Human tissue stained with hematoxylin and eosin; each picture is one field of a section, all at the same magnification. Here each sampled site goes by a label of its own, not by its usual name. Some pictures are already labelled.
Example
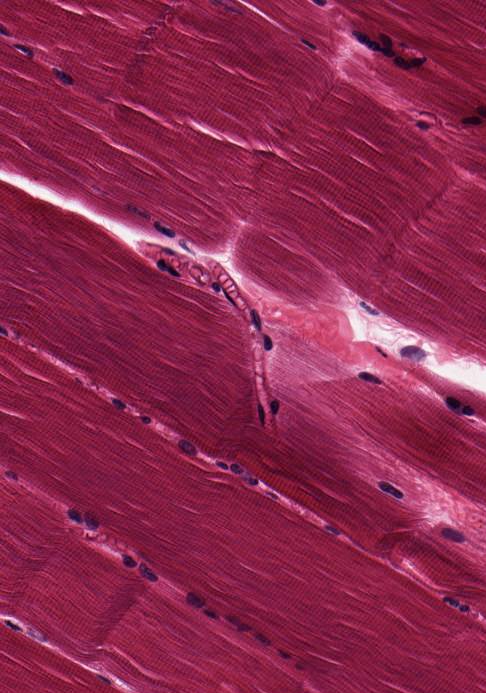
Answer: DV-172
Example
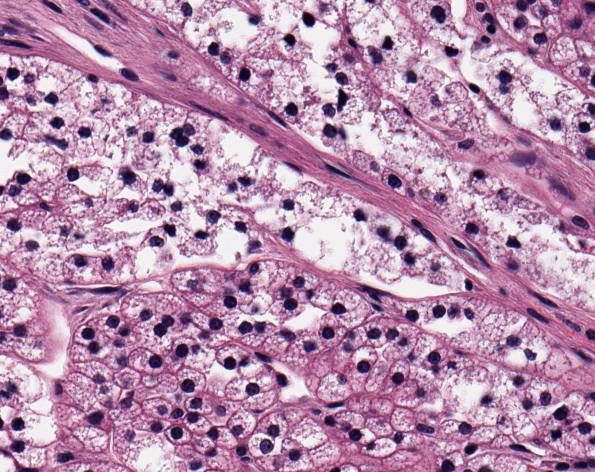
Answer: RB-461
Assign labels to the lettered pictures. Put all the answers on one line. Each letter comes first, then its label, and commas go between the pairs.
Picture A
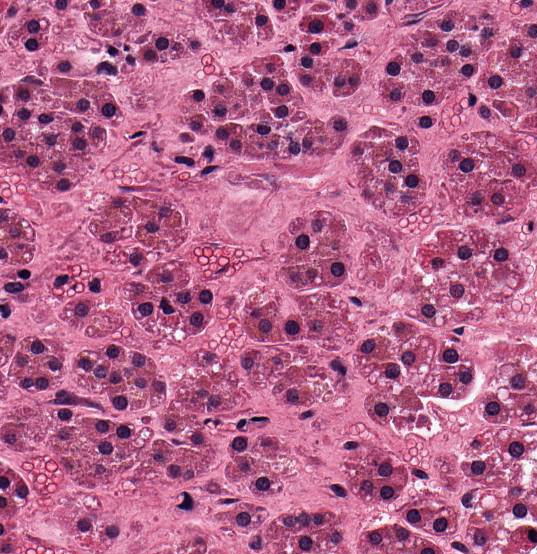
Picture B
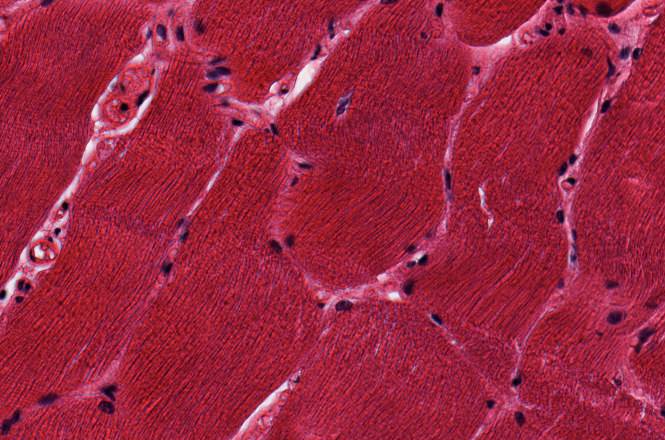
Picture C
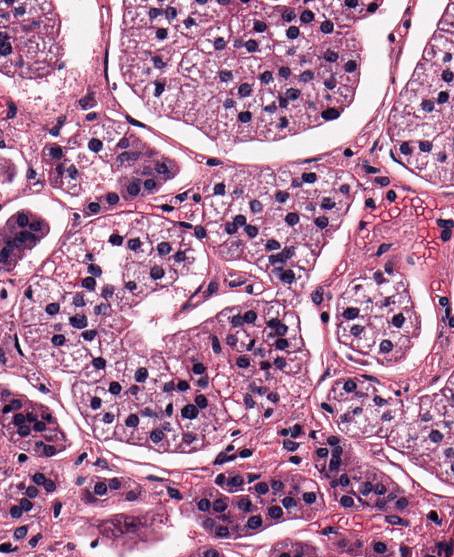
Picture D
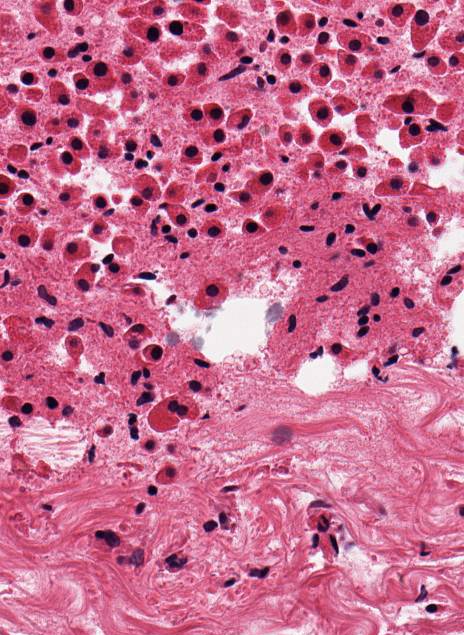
A RB-461, B DV-172, C RB-461, D RB-461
